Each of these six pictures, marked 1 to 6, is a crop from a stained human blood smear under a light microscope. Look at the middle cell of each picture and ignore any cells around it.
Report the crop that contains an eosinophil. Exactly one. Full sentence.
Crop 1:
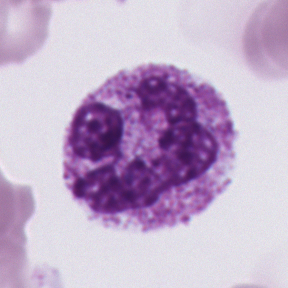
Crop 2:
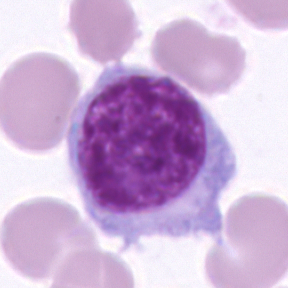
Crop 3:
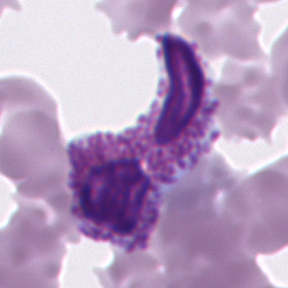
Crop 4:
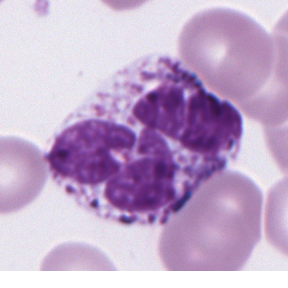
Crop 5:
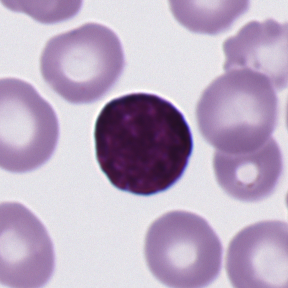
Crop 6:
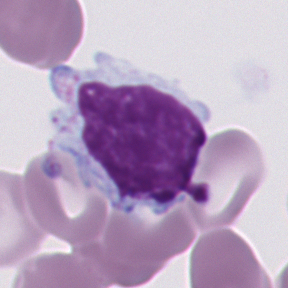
On review of the set, crop 3 is the one showing an eosinophil.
